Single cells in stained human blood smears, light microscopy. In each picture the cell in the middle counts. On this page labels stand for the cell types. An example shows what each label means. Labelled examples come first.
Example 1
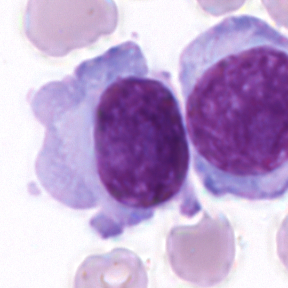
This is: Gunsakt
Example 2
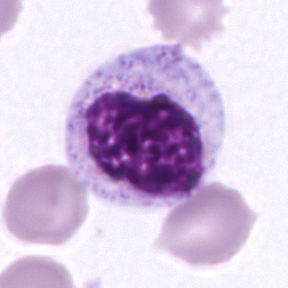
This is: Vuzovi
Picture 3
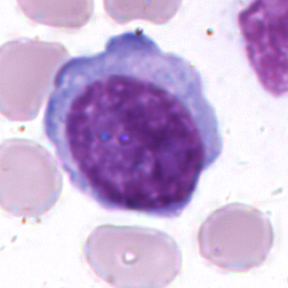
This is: Gunsakt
